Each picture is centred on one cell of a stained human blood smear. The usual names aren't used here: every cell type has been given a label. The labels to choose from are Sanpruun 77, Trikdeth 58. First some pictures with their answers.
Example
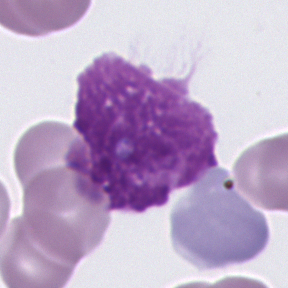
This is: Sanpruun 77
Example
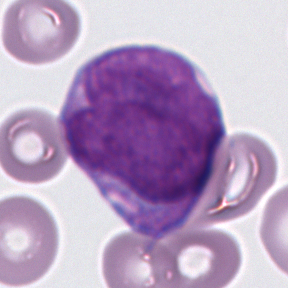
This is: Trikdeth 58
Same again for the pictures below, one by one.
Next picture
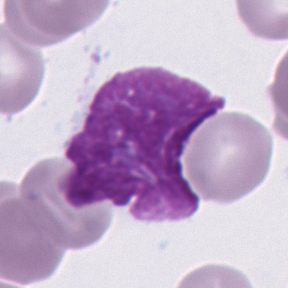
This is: Sanpruun 77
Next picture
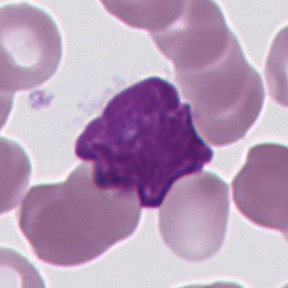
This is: Sanpruun 77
